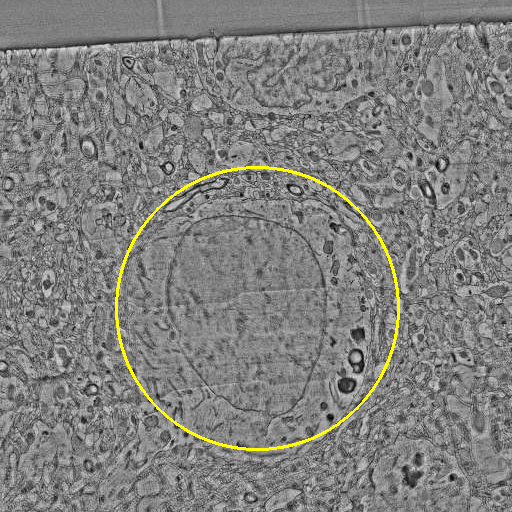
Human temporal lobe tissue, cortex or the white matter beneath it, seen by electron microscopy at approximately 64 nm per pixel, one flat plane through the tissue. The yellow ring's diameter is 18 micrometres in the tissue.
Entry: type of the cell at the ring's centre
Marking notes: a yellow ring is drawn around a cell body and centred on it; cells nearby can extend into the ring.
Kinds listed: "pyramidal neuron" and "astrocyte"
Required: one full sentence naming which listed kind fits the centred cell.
My entry names a pyramidal neuron as the cell whose body the yellow ring centres on.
